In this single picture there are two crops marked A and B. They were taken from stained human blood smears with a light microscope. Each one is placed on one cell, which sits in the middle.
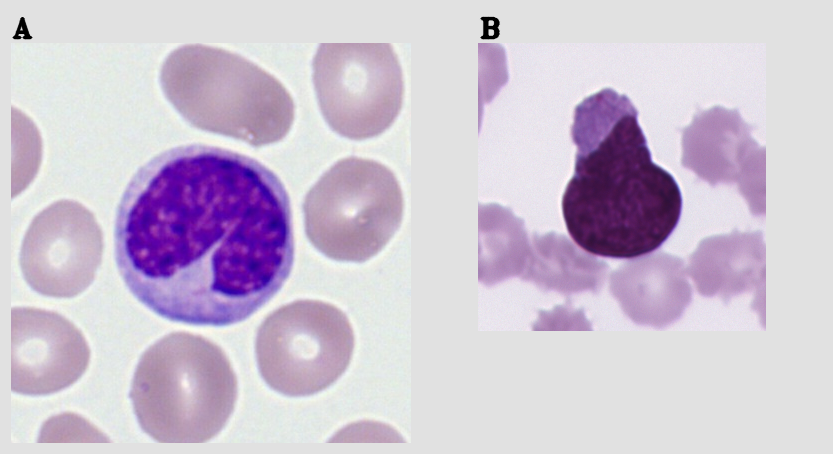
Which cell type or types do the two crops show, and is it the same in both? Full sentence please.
No, in this case crop A shows a monocyte, and crop B shows a blast.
